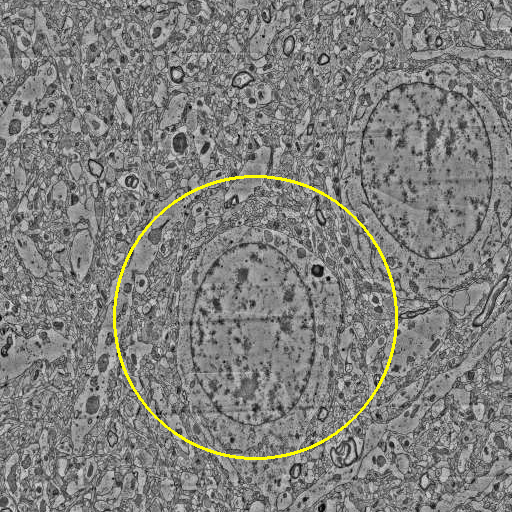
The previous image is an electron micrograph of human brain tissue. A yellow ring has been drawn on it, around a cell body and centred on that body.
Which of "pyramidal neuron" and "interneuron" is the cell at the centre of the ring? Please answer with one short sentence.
The cell body at the centre of the ring belongs to a pyramidal neuron.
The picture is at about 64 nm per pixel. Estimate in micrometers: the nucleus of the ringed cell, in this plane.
In this plane the nucleus spans approximately 12 by 8 micrometers.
